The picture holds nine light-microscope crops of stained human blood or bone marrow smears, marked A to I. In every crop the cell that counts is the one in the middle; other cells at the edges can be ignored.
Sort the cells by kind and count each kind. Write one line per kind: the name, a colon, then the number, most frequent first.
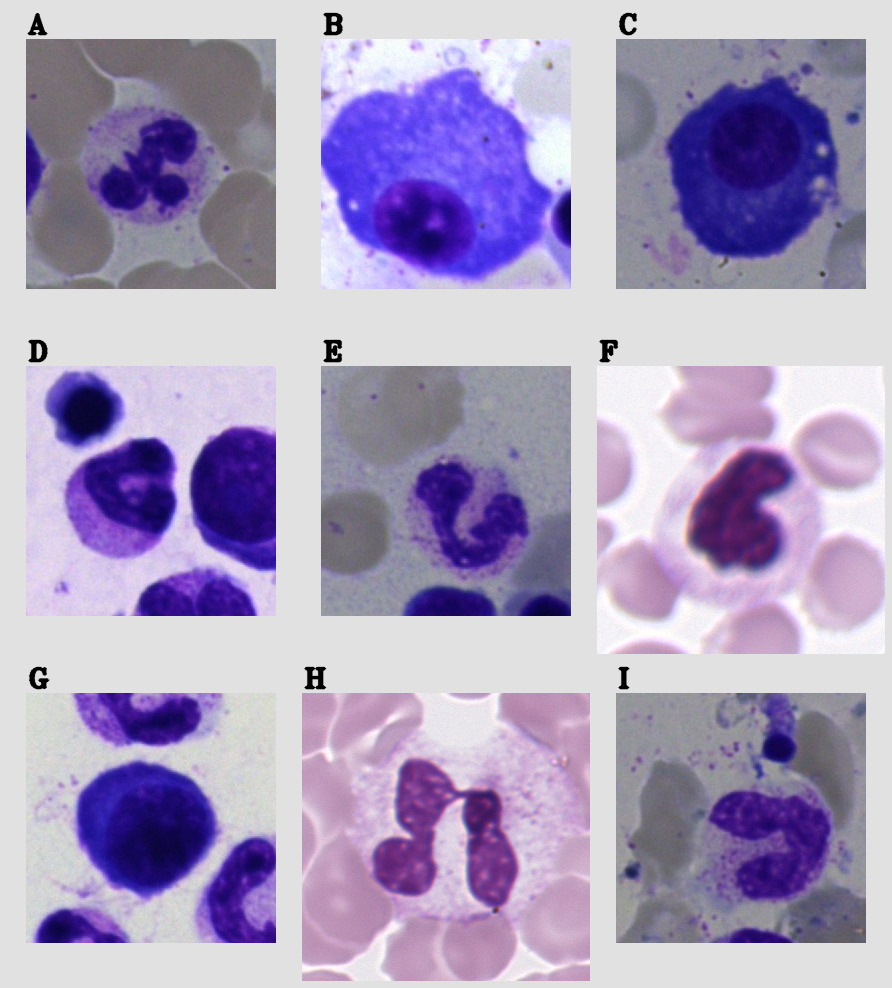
segmented neutrophil: 6
plasma cell: 3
